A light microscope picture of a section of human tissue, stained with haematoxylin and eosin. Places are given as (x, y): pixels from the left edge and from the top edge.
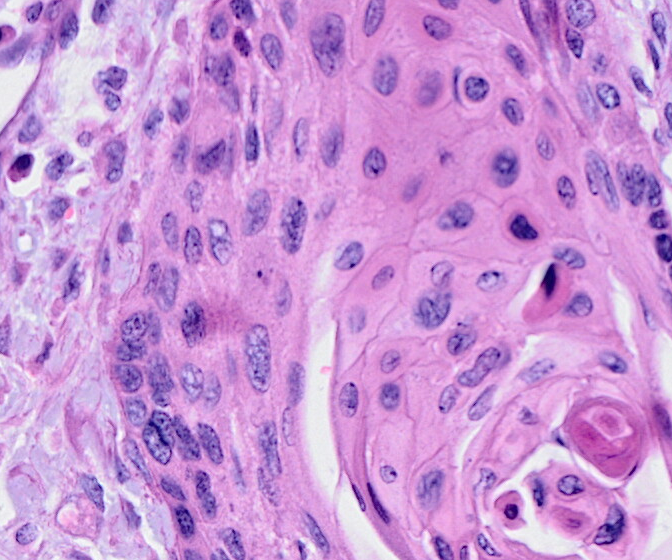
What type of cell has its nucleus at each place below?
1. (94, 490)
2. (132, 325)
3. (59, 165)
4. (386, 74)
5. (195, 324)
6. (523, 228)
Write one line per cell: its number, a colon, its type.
1: fibroblast
2: squamous carcinoma cell
3: macrophage or monocyte
4: squamous carcinoma cell
5: squamous carcinoma cell
6: squamous carcinoma cell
